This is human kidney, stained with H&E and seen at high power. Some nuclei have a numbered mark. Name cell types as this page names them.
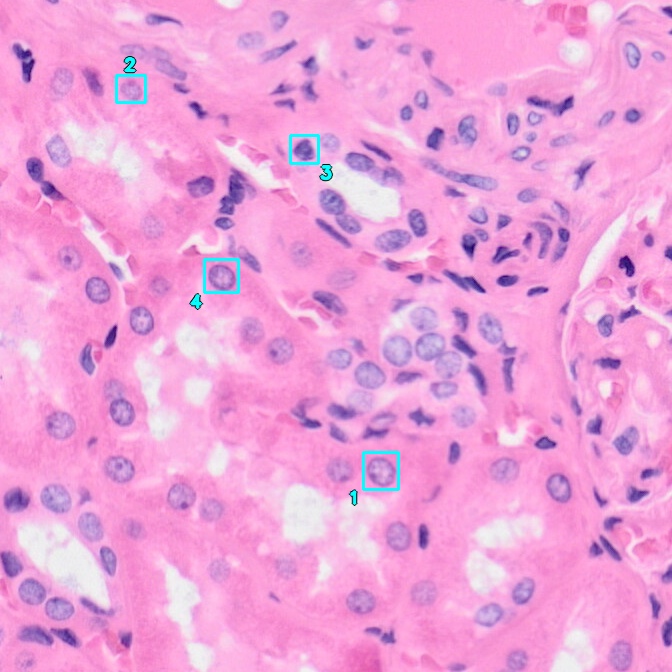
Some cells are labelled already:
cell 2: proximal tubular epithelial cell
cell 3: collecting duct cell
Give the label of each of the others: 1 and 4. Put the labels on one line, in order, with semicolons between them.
proximal tubular epithelial cell; proximal tubular epithelial cell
